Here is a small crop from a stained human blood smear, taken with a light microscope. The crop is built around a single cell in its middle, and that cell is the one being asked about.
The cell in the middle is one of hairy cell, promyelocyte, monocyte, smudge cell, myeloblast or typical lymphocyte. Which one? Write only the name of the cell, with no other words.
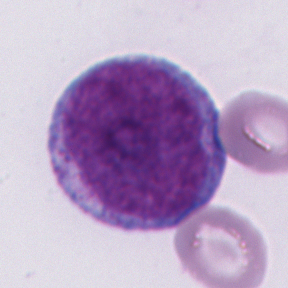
promyelocyte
